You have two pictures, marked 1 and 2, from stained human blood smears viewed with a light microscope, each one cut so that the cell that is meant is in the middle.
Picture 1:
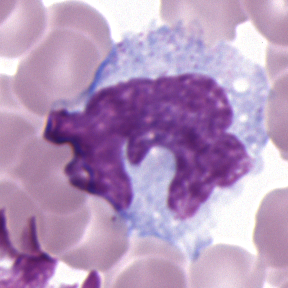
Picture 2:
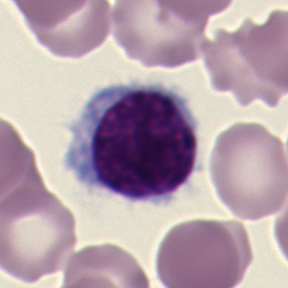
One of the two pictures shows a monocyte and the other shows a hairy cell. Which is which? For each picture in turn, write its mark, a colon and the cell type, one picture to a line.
1: monocyte
2: hairy cell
